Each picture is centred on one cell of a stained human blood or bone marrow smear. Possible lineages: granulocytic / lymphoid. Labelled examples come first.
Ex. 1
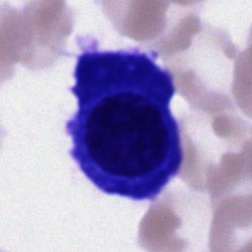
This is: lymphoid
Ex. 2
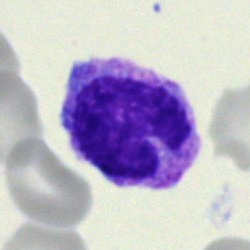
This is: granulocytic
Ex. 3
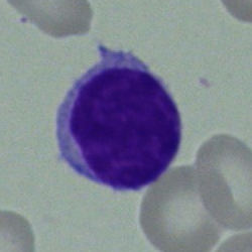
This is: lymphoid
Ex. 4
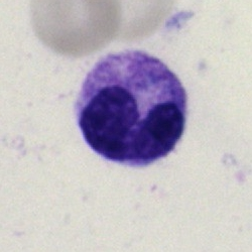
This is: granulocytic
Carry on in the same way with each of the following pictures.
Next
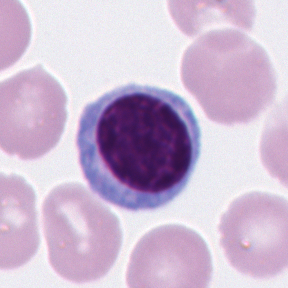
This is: lymphoid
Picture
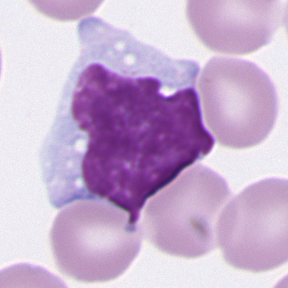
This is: lymphoid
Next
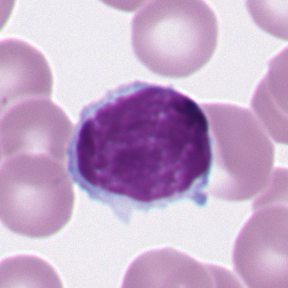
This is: lymphoid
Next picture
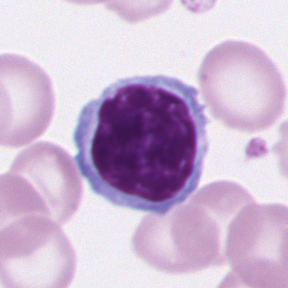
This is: lymphoid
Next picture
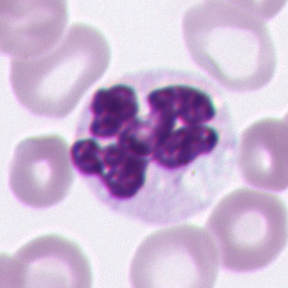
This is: granulocytic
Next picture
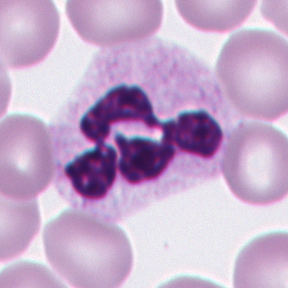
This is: granulocytic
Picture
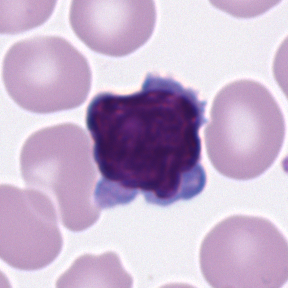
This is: lymphoid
